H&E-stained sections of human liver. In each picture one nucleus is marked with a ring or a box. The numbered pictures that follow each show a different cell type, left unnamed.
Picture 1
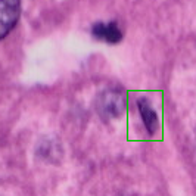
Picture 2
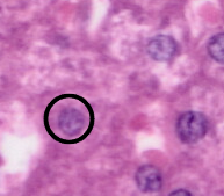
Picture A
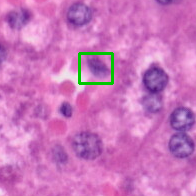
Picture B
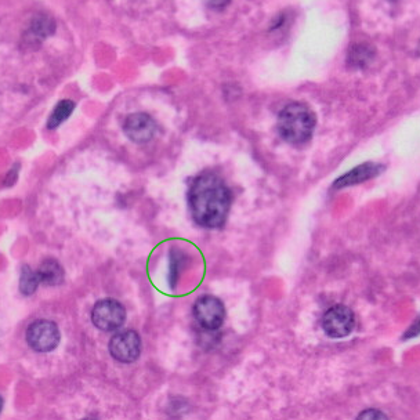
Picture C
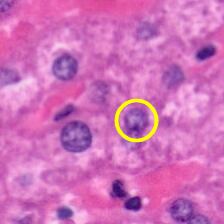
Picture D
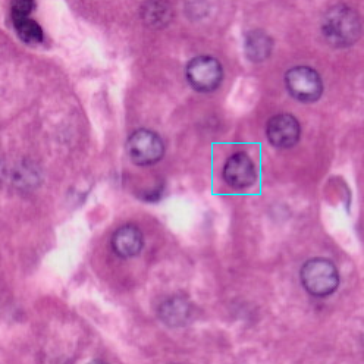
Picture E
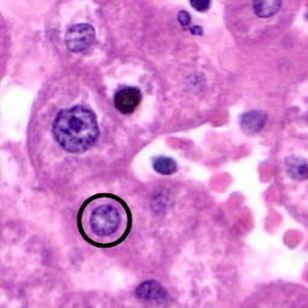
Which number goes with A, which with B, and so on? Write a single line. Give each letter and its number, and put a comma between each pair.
A 1, B 1, C 2, D 2, E 2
